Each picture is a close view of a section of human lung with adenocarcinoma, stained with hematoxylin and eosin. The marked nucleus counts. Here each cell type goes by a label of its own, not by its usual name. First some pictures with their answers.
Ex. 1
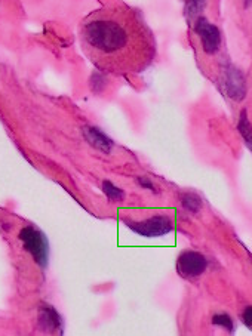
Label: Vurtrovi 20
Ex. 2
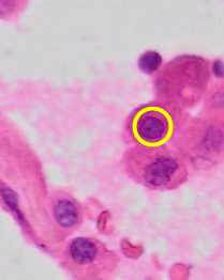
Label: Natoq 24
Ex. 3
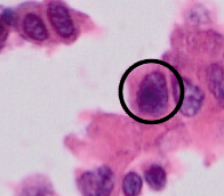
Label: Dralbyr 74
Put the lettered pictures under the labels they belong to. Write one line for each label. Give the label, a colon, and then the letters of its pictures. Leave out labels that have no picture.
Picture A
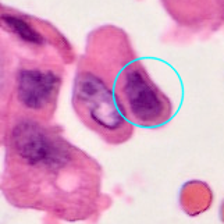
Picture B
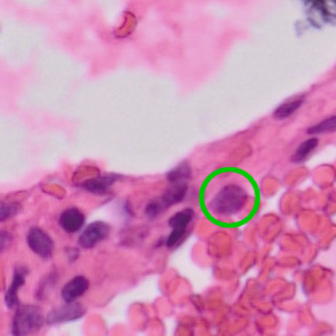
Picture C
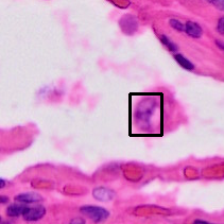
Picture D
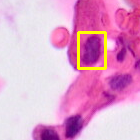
Vurtrovi 20: B
Natoq 24: C, D
Dralbyr 74: A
